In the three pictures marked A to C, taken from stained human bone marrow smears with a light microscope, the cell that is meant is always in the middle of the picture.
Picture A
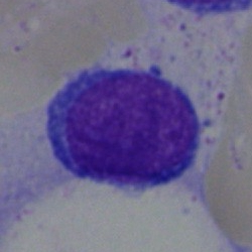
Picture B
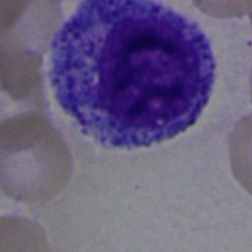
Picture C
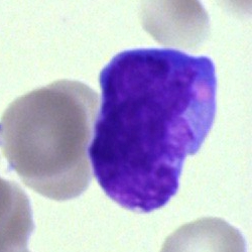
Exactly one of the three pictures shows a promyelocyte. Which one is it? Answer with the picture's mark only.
B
